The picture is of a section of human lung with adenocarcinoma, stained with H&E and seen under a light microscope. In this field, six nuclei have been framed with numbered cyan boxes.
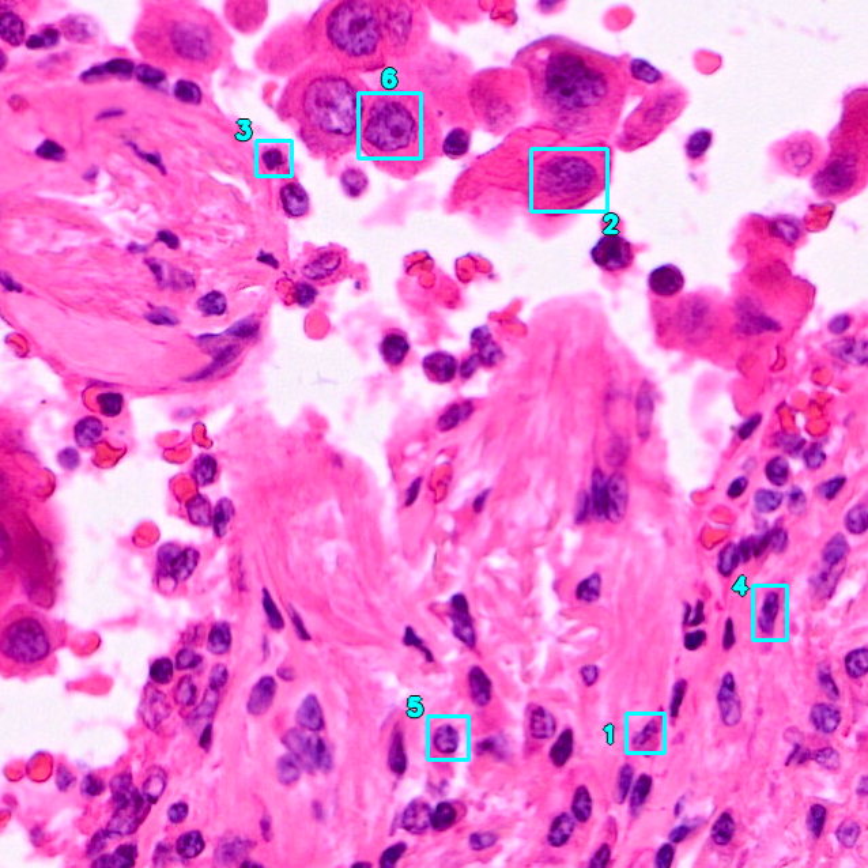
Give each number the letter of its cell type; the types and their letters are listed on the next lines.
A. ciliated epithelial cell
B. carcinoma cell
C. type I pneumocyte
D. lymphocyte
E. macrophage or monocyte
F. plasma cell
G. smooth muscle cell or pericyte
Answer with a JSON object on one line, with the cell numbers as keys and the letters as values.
{"1": "F", "2": "B", "3": "D", "4": "F", "5": "F", "6": "B"}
